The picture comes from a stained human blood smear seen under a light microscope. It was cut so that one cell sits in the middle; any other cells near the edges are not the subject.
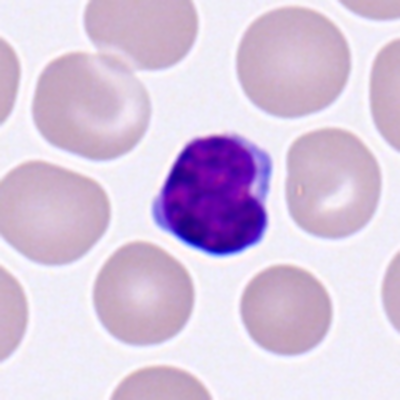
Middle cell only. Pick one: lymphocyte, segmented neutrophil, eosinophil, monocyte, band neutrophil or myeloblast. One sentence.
Whatever else lies nearby, the middle cell is a lymphocyte.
